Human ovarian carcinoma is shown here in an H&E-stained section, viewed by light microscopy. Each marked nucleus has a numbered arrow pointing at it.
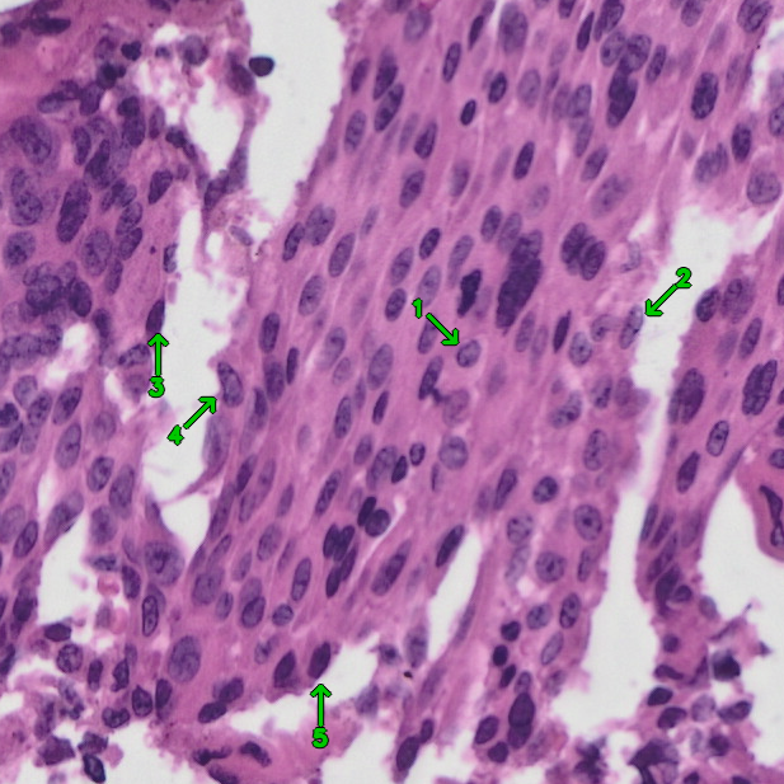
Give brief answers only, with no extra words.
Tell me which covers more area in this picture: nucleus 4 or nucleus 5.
4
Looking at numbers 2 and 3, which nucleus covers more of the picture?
2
